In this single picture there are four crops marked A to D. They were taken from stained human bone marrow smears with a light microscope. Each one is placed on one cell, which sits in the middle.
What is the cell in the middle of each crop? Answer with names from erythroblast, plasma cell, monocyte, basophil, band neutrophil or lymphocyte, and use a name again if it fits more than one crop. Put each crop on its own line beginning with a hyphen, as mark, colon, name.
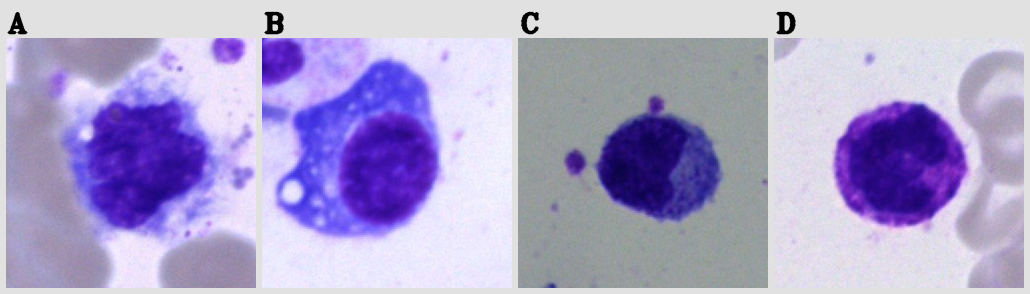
- A: monocyte
- B: plasma cell
- C: lymphocyte
- D: basophil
